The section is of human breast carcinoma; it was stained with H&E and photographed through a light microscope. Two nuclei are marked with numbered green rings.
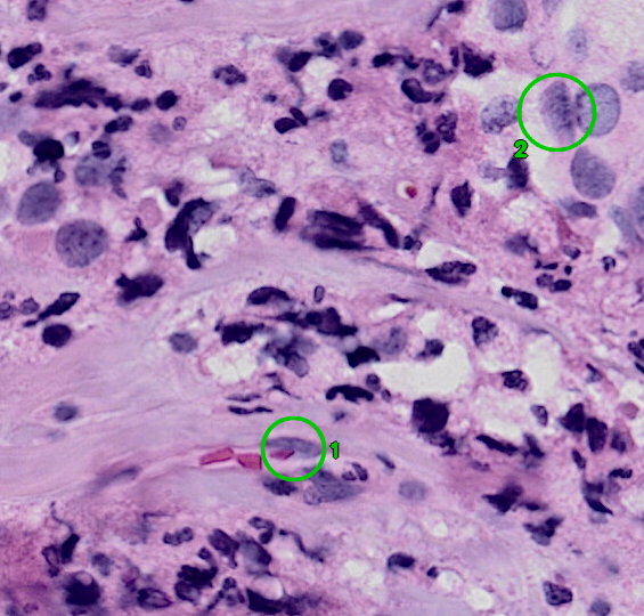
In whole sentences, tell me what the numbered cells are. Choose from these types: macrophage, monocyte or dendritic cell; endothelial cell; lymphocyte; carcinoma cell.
Cell 1 is an endothelial cell. Cell 2 is a carcinoma cell.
